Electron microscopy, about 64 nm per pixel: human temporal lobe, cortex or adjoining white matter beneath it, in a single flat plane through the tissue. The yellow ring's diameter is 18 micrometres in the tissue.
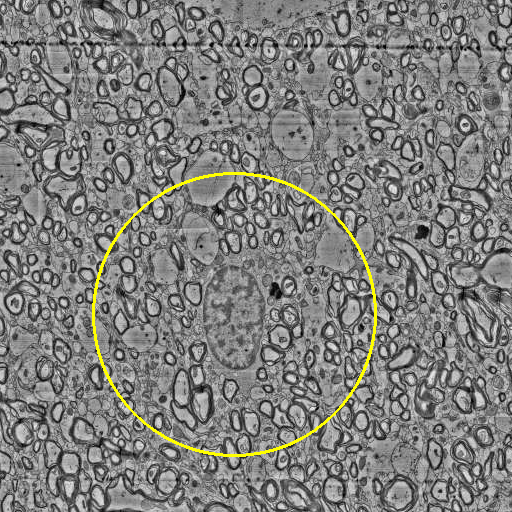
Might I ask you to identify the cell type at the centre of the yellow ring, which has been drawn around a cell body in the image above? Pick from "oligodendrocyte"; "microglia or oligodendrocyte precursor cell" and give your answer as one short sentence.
The centre of the ring falls on an oligodendrocyte.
